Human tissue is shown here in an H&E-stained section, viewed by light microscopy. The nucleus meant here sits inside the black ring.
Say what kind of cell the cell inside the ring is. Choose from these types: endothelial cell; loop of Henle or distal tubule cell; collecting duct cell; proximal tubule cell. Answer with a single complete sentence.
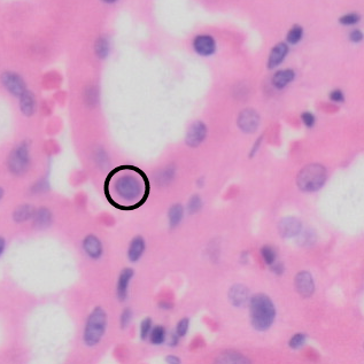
In short, the cell inside the ring on this section is a collecting duct cell.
